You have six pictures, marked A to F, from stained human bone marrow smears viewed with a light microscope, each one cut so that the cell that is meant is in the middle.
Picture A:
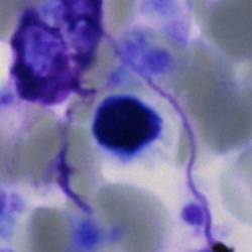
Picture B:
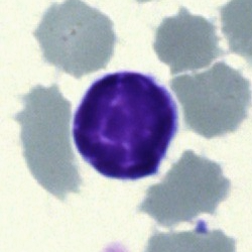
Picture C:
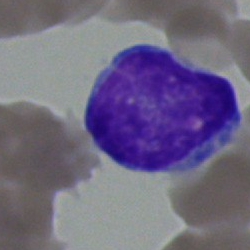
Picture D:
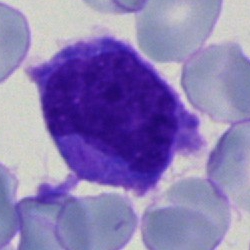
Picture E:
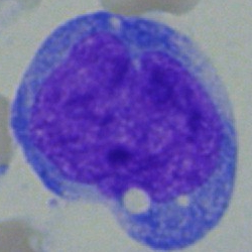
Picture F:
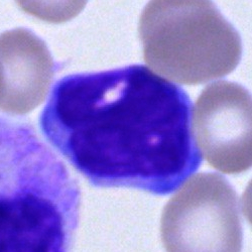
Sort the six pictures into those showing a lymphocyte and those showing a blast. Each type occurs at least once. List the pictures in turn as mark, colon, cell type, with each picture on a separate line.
A: lymphocyte
B: lymphocyte
C: blast
D: blast
E: blast
F: lymphocyte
